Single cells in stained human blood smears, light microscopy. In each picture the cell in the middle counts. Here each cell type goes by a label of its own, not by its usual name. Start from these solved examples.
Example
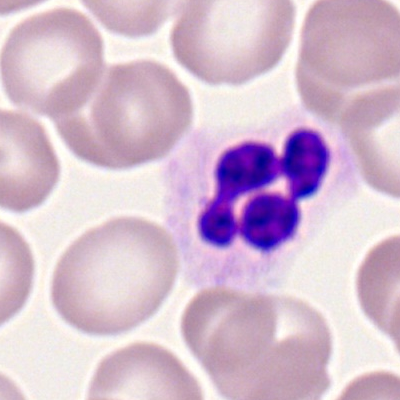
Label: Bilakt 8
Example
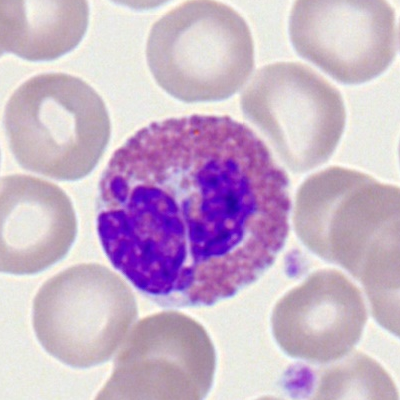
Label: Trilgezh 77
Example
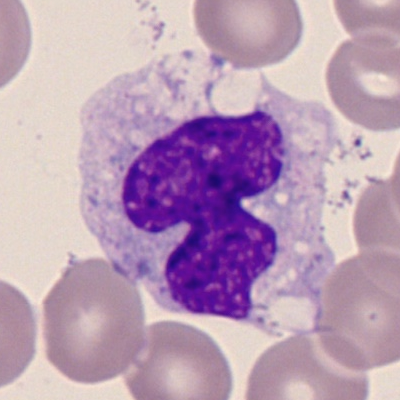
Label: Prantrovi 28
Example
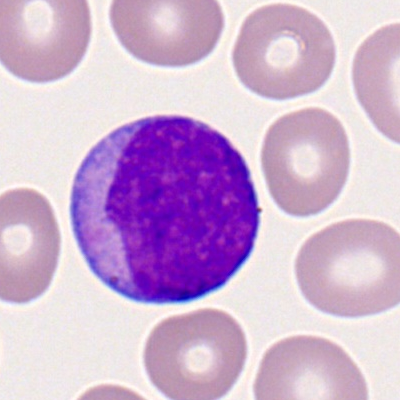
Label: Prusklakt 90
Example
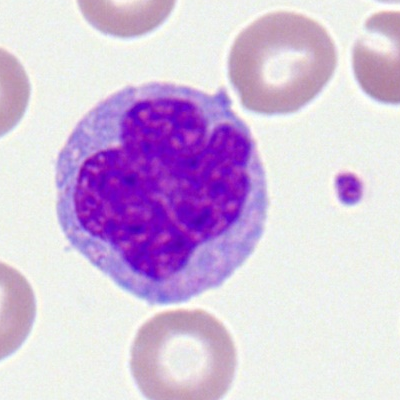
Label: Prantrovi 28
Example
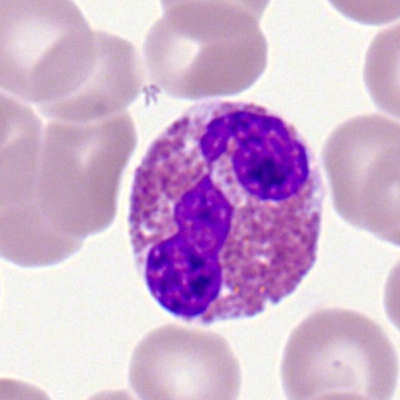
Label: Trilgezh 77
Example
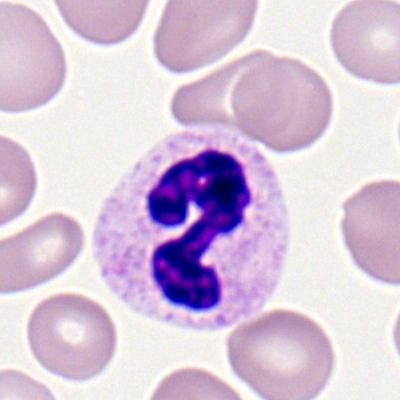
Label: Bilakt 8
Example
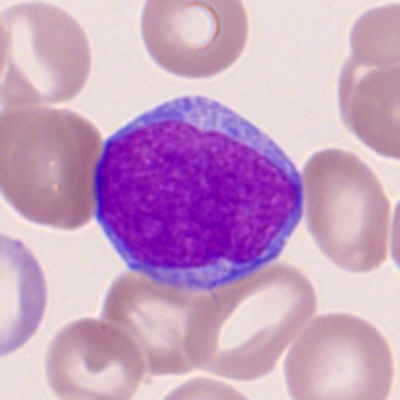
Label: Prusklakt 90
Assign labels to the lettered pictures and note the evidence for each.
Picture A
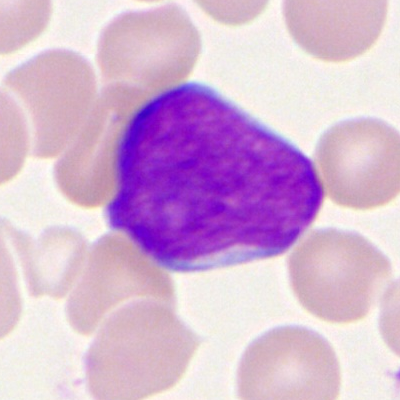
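Answer: Prusklakt 90. The nucleus fills almost the whole cell.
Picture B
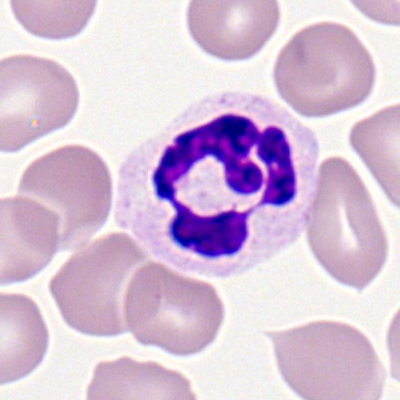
Answer: Bilakt 8. The nucleus is a thick curved band that wraps around a pale central patch of cytoplasm.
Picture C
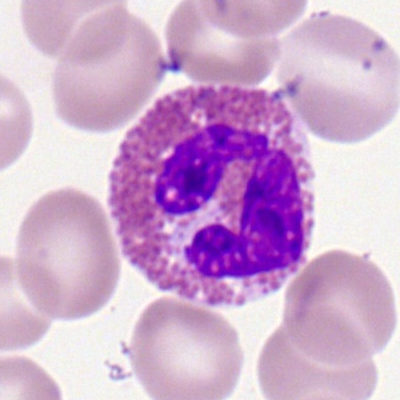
Answer: Trilgezh 77. The cytoplasm holds coarse reddish-pink granules.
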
